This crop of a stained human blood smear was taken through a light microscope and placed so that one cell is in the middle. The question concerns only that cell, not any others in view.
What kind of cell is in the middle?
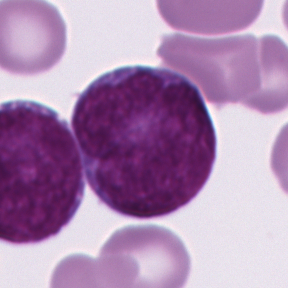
myeloblast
